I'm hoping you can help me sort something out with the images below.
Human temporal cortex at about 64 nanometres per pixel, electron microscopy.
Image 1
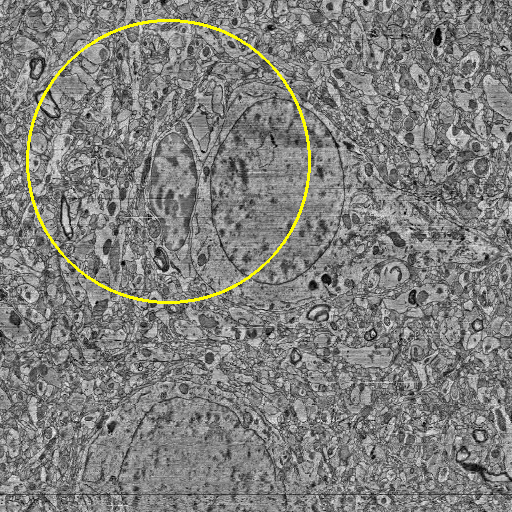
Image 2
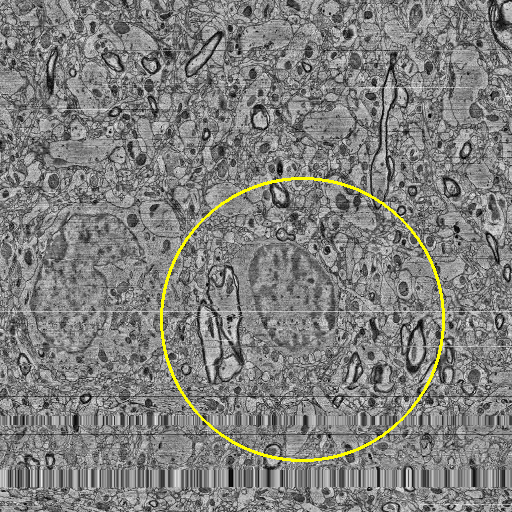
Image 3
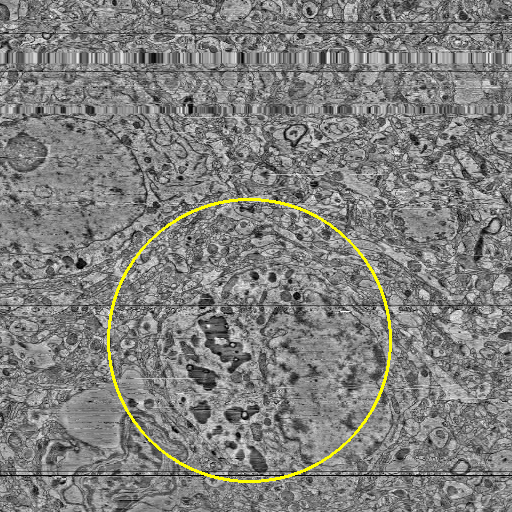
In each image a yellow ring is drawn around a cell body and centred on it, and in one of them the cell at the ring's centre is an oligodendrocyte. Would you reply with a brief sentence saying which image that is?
In Image 2, the cell at the centre of the ring is the one you asked about.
